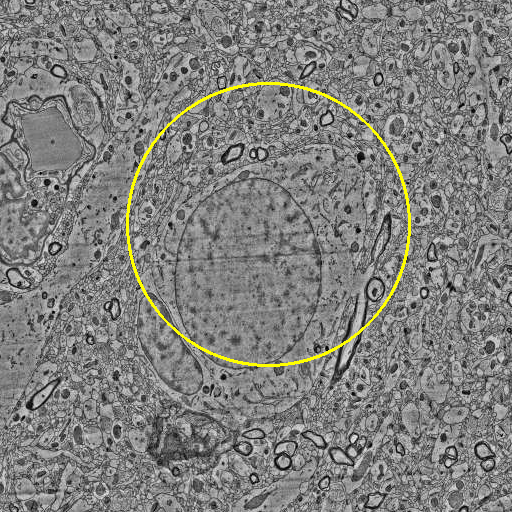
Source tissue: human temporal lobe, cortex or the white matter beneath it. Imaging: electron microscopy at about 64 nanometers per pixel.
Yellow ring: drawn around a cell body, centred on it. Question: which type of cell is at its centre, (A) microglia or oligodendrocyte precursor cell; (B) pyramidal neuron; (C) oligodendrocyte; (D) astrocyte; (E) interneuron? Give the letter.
B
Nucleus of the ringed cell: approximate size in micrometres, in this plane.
The nucleus comes to roughly 12 by 9 micrometres in this plane.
